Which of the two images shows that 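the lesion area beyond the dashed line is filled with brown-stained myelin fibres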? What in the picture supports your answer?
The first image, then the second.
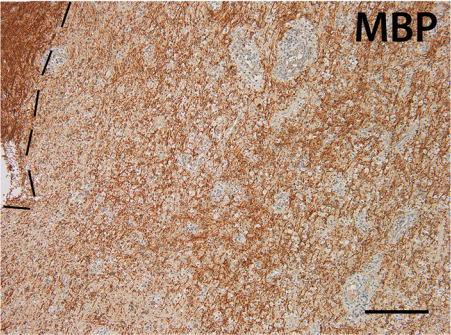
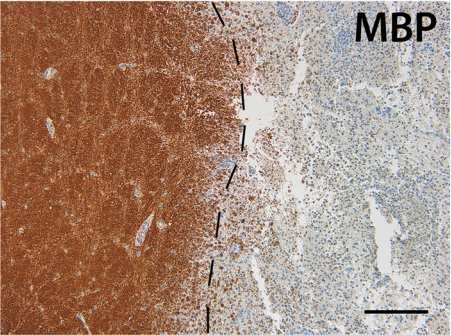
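The first image. First image: the area right of the dashed line is covered by a fine brown fibre network. Second image: the area right of the dashed line is pale with almost no brown stain.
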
